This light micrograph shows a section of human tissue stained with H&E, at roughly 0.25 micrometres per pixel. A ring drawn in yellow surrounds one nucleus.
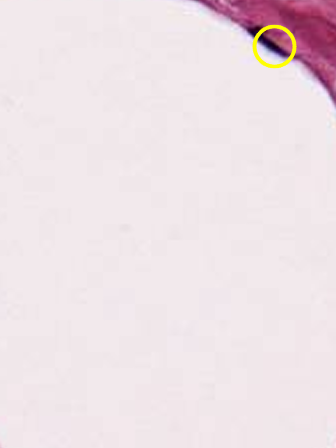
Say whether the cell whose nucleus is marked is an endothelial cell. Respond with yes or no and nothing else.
yes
